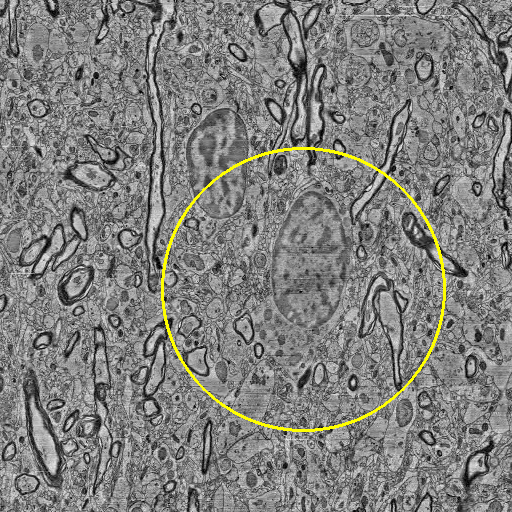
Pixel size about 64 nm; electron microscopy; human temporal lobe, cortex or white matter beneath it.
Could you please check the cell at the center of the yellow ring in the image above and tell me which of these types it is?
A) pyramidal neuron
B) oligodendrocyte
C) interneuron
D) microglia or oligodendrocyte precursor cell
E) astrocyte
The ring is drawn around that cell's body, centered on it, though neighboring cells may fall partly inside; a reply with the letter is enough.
B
